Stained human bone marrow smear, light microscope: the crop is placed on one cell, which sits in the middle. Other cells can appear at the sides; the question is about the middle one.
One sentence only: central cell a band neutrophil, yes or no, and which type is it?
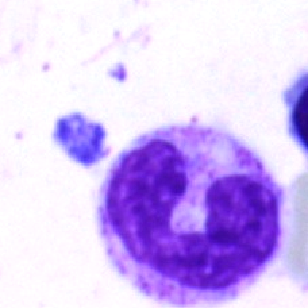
Yes, the cell at the center of the crop is a band neutrophil.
